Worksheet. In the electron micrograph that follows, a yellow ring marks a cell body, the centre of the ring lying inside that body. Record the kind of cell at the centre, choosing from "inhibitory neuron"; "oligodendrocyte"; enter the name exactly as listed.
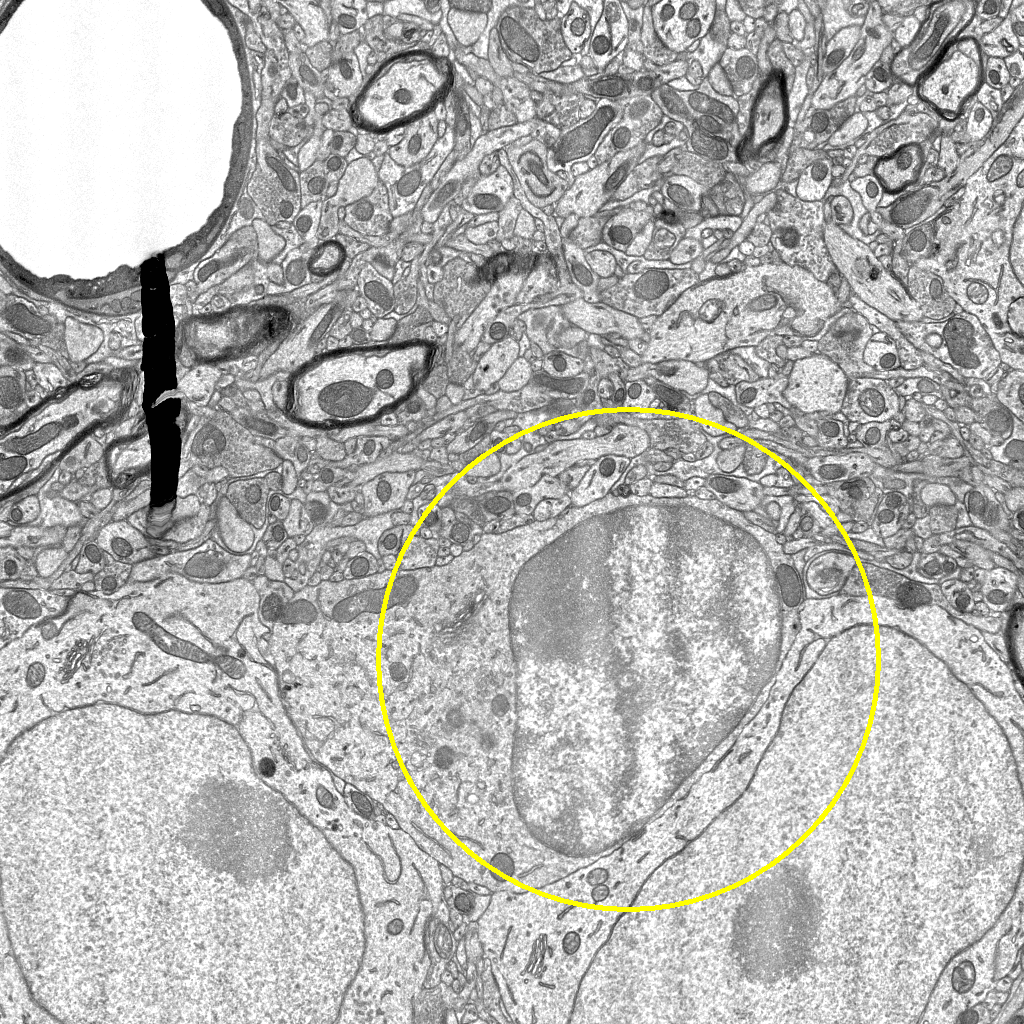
oligodendrocyte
